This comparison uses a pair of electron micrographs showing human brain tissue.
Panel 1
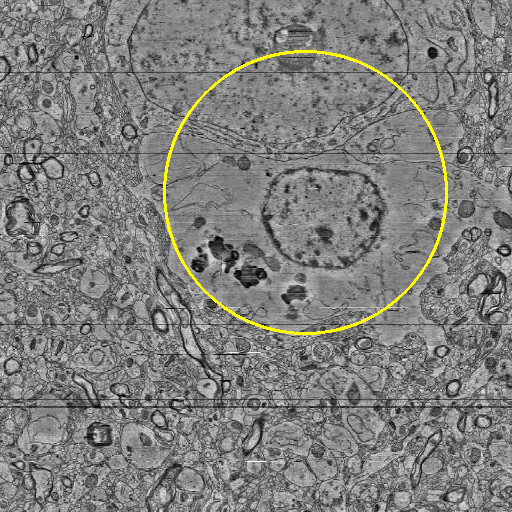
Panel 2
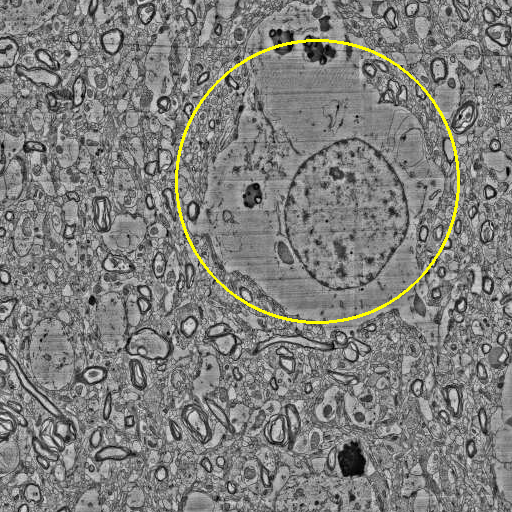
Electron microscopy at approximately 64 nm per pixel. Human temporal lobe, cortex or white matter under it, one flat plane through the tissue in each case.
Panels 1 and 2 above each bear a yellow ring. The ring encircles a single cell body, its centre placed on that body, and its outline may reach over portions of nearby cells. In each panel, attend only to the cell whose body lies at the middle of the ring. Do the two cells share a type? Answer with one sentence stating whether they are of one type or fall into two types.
In Panel 1 and Panel 2, the cells at the centres of the rings are of one type.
